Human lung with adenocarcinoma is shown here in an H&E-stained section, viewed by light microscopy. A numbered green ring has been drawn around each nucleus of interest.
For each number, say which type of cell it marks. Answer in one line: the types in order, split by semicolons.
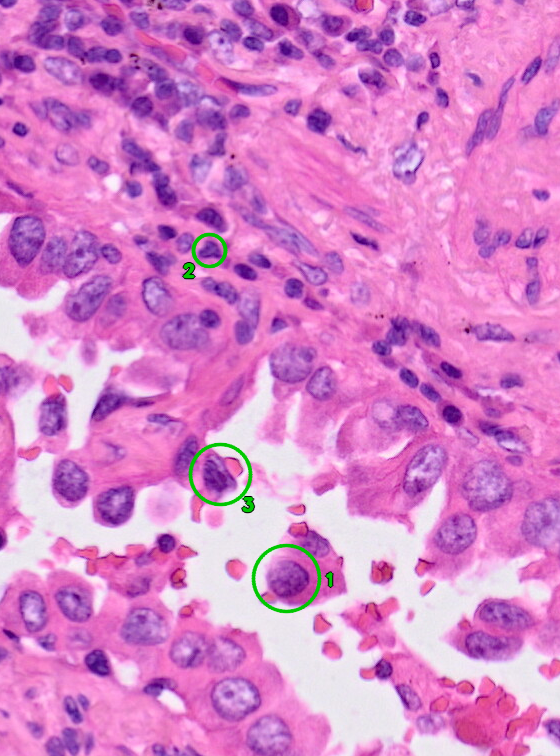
carcinoma cell; plasma cell; carcinoma cell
